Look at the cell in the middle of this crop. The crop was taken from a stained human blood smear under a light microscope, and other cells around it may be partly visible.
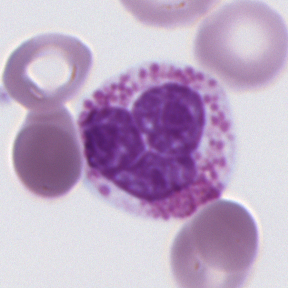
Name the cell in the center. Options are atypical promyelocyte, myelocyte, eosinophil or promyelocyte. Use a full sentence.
In the middle of this smear crop, the cell is an eosinophil.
